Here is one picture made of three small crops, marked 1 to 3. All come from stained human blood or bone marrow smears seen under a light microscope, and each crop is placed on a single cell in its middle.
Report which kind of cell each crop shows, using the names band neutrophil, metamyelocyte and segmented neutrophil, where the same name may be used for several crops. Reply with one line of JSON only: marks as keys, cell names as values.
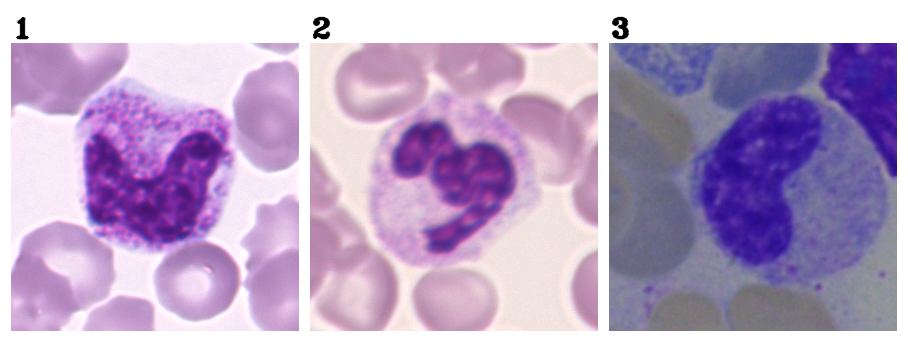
{"1": "metamyelocyte", "2": "segmented neutrophil", "3": "band neutrophil"}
